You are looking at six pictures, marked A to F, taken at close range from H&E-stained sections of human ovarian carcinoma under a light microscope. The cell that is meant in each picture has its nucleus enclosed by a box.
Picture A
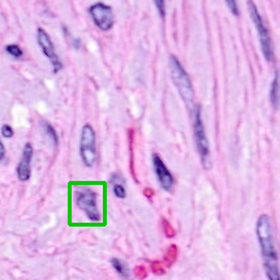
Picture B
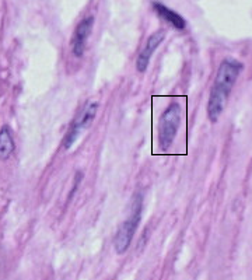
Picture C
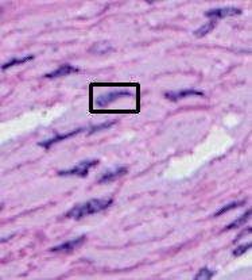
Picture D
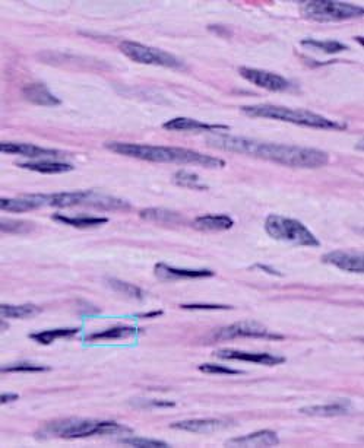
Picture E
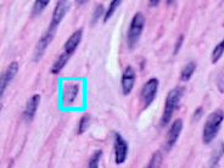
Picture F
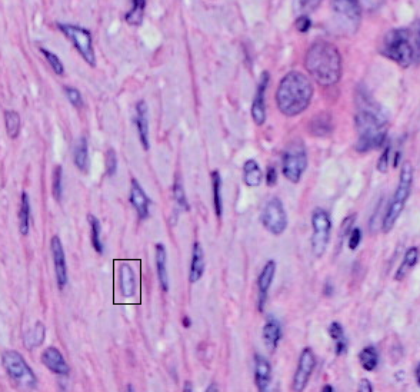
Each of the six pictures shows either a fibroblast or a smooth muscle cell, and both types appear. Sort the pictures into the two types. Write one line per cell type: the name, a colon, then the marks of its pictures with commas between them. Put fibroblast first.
fibroblast: A, B, C, F
smooth muscle cell: D, E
